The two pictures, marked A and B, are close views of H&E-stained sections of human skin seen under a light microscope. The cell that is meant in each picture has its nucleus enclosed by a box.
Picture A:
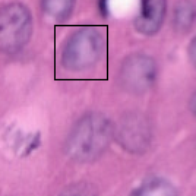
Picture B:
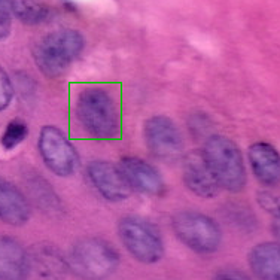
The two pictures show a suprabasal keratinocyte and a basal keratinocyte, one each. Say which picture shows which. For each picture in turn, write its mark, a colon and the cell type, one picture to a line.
A: suprabasal keratinocyte
B: basal keratinocyte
